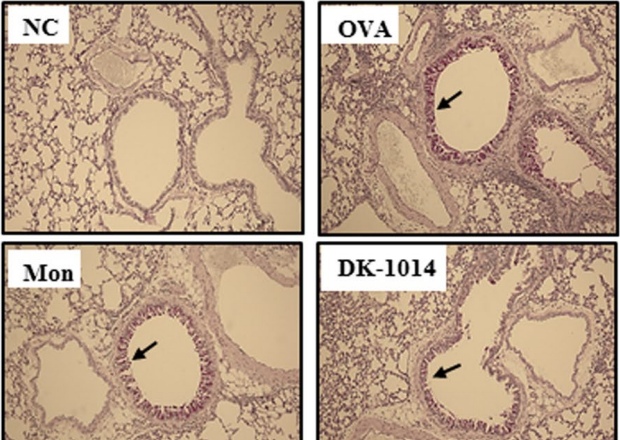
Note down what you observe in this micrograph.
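Four low-power fields of lung tissue stained pale pink, each showing round airways in cross-section surrounded by the fine network of alveolar walls and by thin-walled vessels. The airways are lined by a single row of epithelial cells. In several fields many cells of this lining are filled with magenta-stained material, forming a beaded purple-red rim around the airway lumen; these are mucus cells, to which arrows point. In one field the airway lining is pale throughout, with no magenta cells, and the lining there appears thinner and smoother.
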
